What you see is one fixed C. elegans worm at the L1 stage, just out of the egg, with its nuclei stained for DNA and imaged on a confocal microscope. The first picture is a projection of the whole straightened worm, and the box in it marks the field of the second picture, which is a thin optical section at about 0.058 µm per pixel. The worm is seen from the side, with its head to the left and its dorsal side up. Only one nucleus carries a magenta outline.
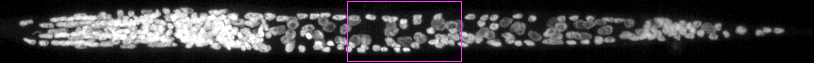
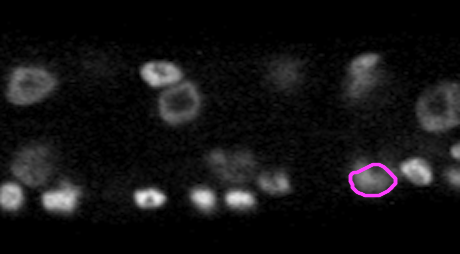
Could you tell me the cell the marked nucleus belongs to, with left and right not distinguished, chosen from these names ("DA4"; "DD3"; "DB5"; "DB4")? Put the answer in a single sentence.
The marked cell is DB5, a neuron.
